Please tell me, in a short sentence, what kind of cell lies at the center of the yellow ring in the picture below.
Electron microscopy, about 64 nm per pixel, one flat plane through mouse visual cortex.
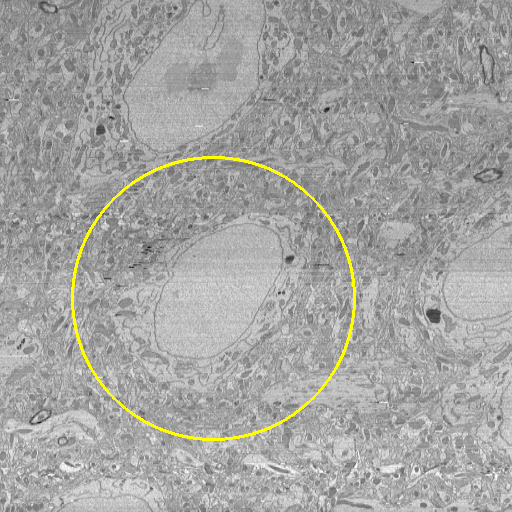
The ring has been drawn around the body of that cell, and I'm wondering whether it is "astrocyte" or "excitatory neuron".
The cell at the center of the ring is an excitatory neuron.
